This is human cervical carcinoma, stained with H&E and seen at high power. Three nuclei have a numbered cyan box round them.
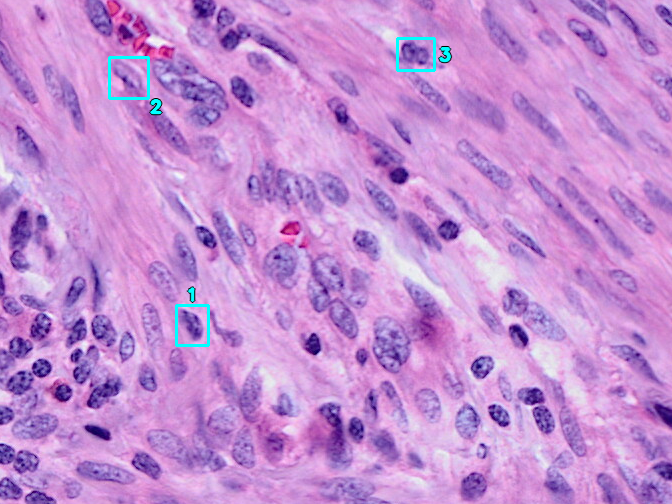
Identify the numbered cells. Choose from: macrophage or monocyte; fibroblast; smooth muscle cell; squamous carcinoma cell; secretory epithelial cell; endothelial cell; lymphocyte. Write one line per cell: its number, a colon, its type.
1: lymphocyte
2: endothelial cell
3: lymphocyte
